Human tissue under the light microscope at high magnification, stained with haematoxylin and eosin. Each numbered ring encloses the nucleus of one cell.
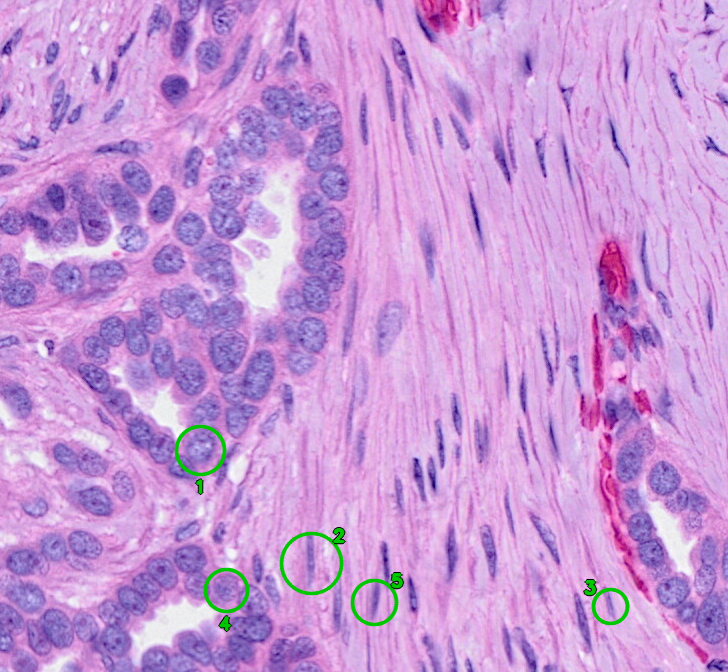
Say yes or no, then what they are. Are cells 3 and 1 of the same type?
No, listen: cell 3 is a fibroblast and cell 1 is a carcinoma cell.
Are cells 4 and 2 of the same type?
No, the cell bearing number 4 is a carcinoma cell, while the one bearing number 2 is a fibroblast.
